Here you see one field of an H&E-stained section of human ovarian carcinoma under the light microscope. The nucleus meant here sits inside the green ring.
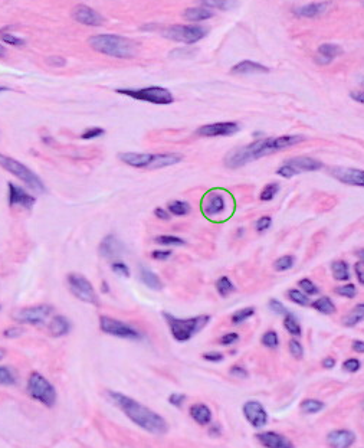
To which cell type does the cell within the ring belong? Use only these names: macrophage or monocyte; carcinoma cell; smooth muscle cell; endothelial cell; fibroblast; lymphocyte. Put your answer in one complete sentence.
It is a smooth muscle cell that the cell within the ring represents.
